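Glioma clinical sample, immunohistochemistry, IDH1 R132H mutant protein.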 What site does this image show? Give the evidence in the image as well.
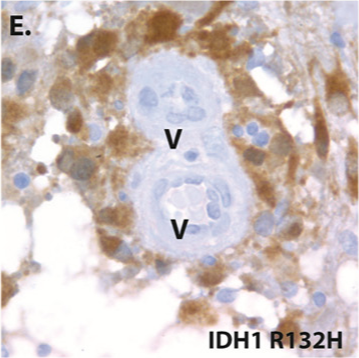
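Perivascular region. Two small vessels cut across sit in the centre. Brown-stained cells pack tightly right up against their walls.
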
